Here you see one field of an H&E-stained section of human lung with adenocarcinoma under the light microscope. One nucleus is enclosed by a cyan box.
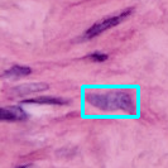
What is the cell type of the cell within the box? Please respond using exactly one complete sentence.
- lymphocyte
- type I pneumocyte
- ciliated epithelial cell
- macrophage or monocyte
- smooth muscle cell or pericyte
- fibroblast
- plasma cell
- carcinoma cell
In this tissue section, the cell within the box is to be classed as a smooth muscle cell or pericyte.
